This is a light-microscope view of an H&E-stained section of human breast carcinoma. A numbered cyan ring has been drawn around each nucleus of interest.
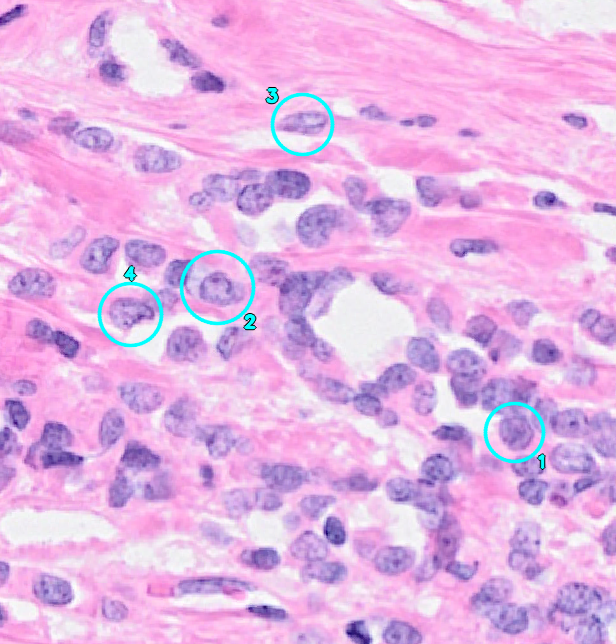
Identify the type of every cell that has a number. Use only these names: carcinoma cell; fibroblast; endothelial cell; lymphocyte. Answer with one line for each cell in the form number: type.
1: carcinoma cell
2: carcinoma cell
3: fibroblast
4: carcinoma cell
